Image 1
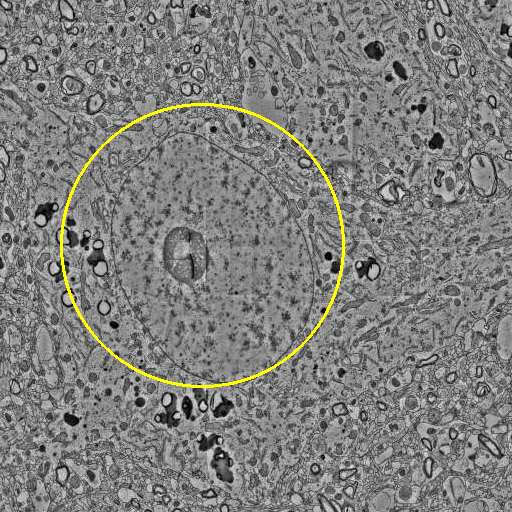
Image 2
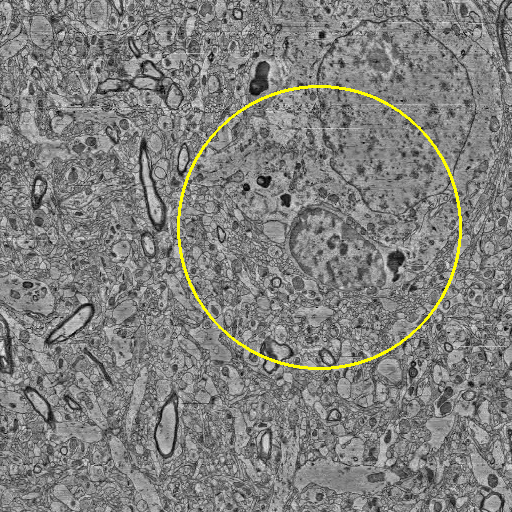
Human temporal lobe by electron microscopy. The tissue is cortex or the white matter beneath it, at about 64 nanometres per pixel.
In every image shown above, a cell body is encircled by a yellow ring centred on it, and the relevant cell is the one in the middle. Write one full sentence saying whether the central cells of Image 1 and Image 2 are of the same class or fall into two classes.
The cell at the ring's centre in Image 1 and its counterpart in Image 2 fall into two classes.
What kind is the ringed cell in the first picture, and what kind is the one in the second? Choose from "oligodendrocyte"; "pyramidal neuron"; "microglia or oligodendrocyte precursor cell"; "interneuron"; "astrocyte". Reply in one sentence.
The first cell is a pyramidal neuron; the second is an oligodendrocyte.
